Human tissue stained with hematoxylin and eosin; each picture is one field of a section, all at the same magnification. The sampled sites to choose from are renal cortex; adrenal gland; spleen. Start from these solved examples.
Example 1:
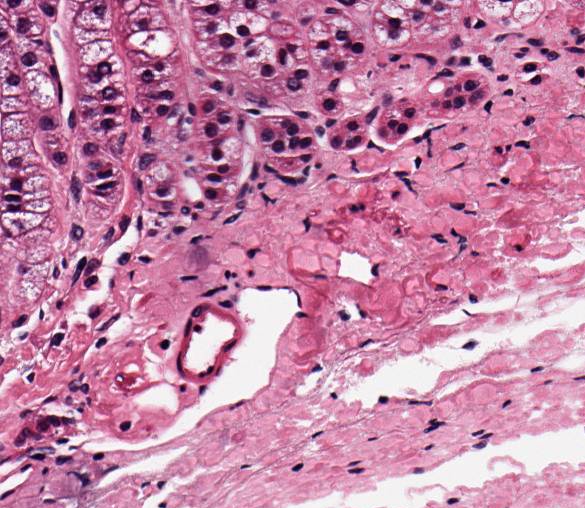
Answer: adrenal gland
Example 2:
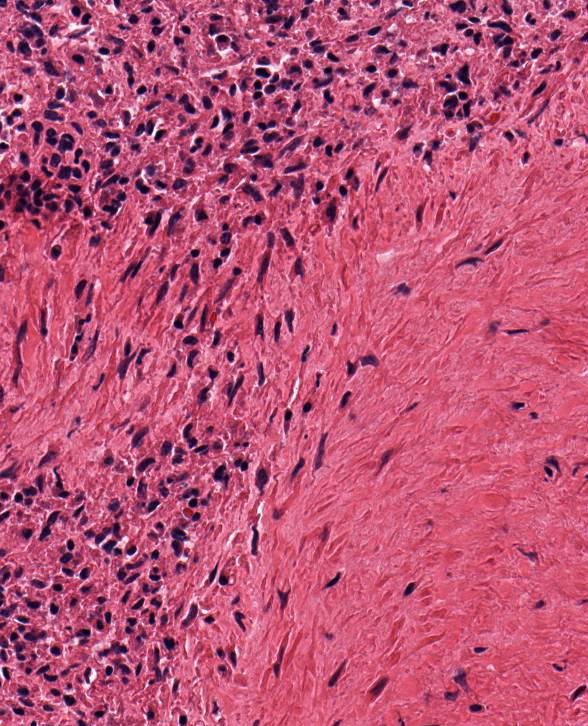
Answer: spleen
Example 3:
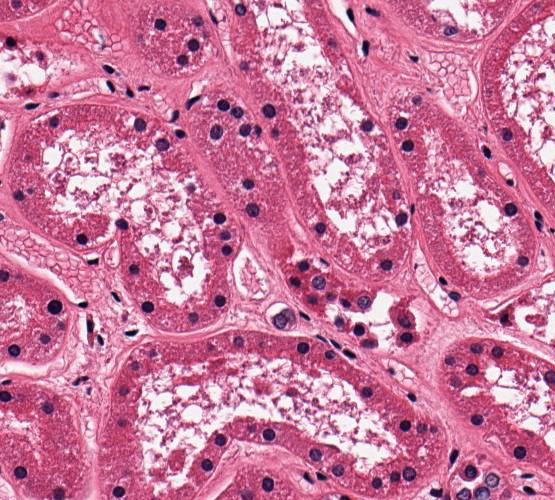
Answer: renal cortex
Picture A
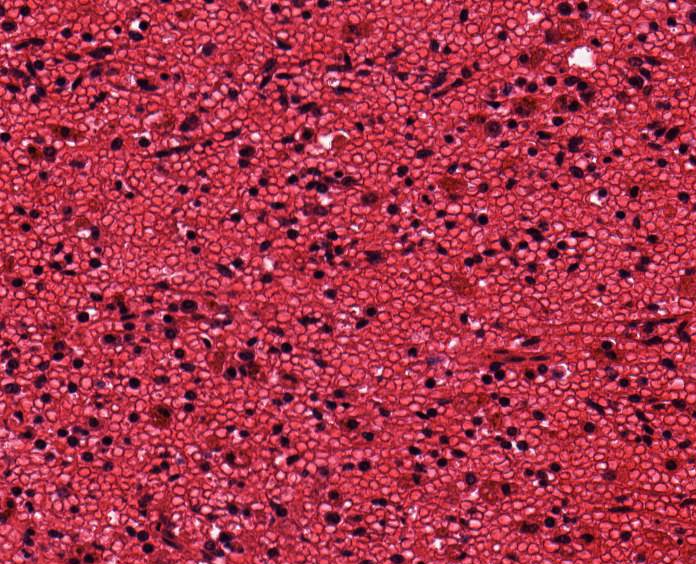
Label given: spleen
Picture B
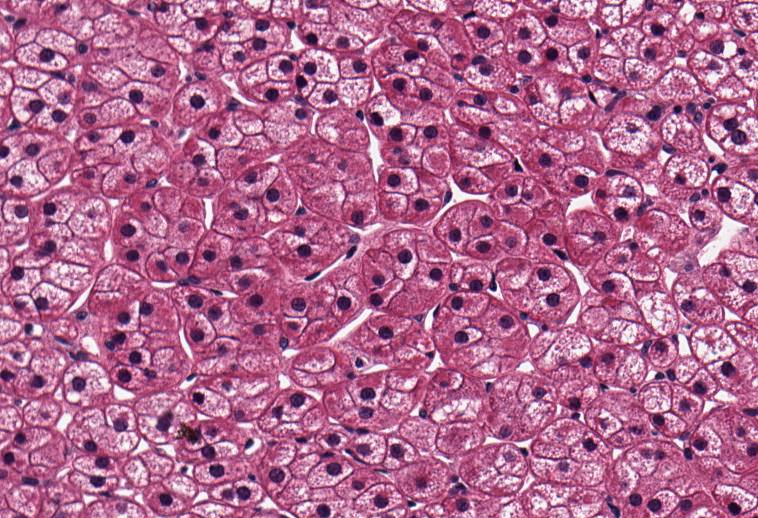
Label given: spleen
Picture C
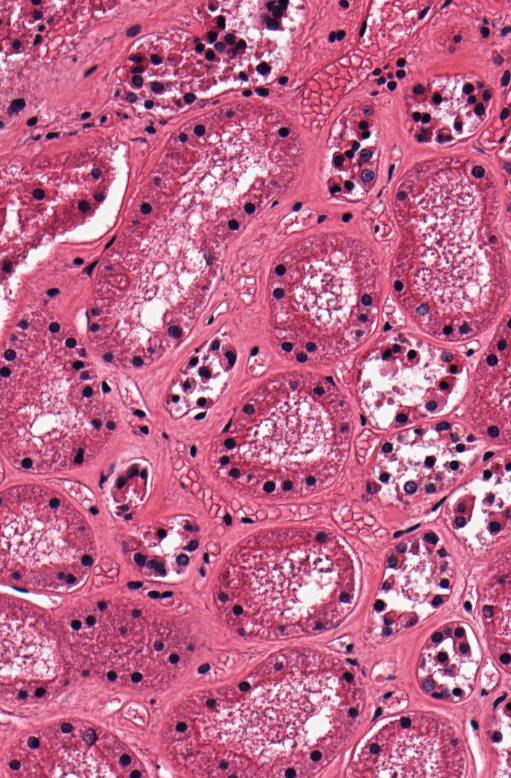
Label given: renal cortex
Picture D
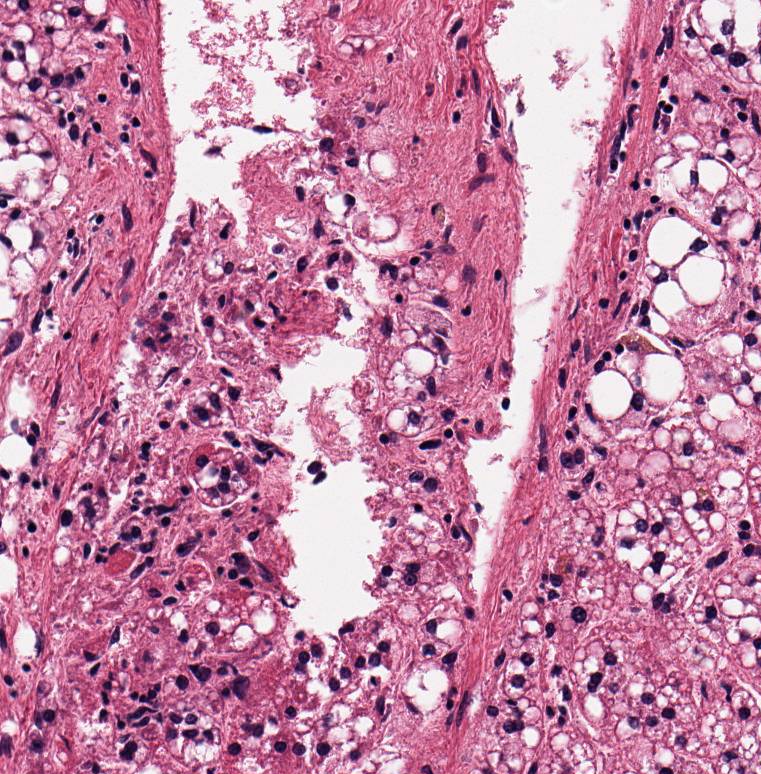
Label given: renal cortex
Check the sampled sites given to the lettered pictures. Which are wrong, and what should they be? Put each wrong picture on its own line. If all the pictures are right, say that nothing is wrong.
B should be adrenal gland, not spleen
D should be adrenal gland, not renal cortex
